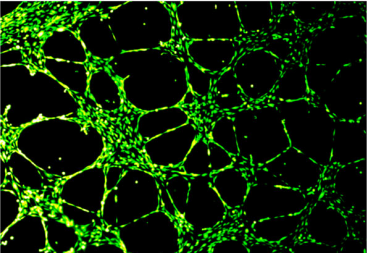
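Here the cells have organised themselves into a network of tubular structures. Bright green, elongated, spindle-shaped cells line up end to end to form cords, and these cords branch and rejoin so that they enclose dark, rounded or polygonal empty spaces. Where several cords meet, cells pile up into dense clusters, which are especially crowded along the left side of the field. The cords vary in thickness, from single-cell strands to broad bands several cells wide. Because the whole cell body fluoresces, outlines are visible, but nuclei are not distinguished.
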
